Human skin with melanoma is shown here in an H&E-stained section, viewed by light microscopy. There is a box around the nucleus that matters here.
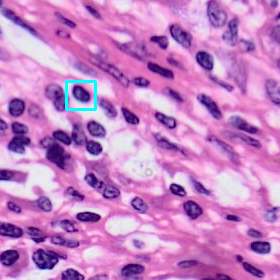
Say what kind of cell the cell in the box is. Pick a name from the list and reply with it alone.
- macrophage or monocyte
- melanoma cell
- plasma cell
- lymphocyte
lymphocyte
